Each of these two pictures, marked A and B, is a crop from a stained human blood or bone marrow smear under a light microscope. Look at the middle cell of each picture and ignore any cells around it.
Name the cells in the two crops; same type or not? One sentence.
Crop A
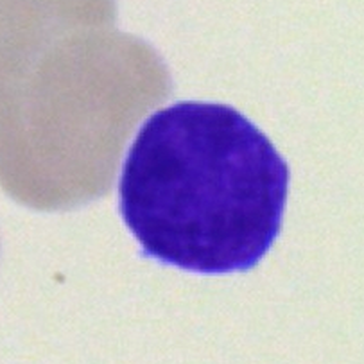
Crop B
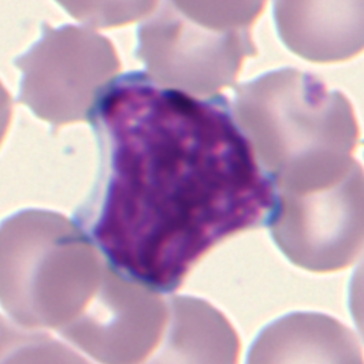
Yes, both crops show lymphocytes, one in each.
